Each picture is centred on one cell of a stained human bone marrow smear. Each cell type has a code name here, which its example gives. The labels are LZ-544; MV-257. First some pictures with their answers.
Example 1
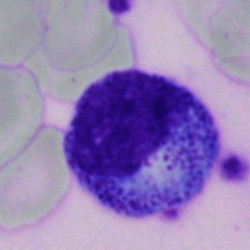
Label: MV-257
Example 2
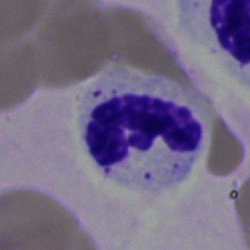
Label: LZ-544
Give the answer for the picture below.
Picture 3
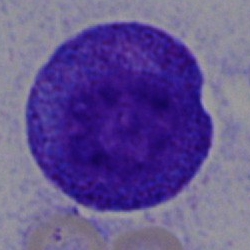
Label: MV-257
